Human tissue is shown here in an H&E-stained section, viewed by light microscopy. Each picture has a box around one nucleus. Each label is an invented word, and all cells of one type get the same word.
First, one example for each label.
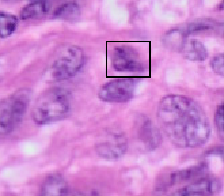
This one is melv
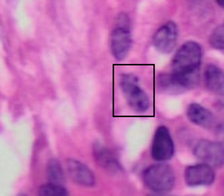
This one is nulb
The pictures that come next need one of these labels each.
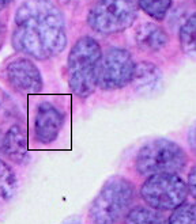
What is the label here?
nulb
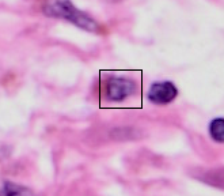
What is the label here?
nulb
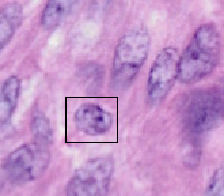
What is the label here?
nulb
